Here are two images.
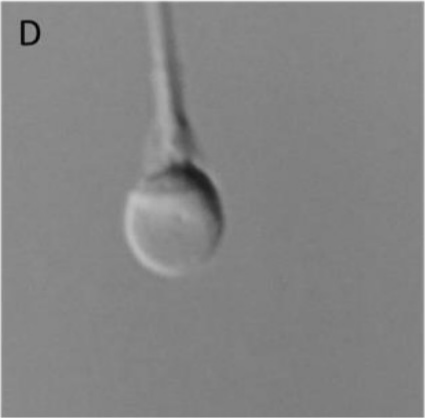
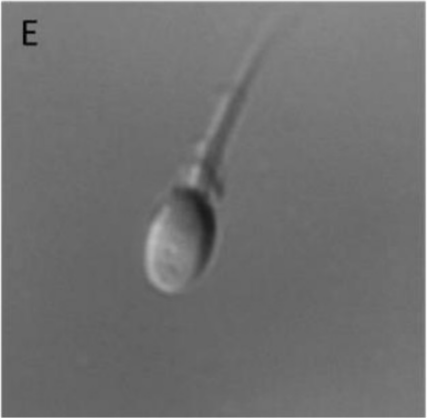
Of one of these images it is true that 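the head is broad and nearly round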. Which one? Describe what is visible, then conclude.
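Second image: the head is slender and elongated. First image: the head is broad, almost as wide as long. On this evidence: the first image.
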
